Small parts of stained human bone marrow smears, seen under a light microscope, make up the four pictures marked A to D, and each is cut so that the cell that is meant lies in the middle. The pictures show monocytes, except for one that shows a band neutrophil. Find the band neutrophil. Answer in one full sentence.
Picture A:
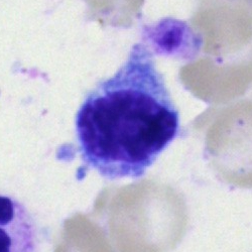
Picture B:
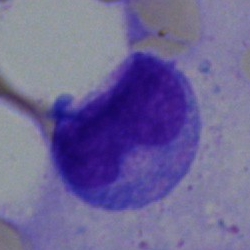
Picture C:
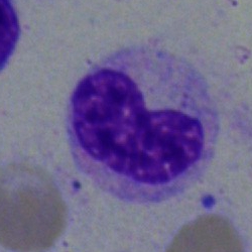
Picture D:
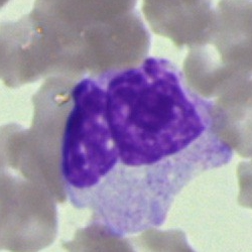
The band neutrophil is the one in picture C.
